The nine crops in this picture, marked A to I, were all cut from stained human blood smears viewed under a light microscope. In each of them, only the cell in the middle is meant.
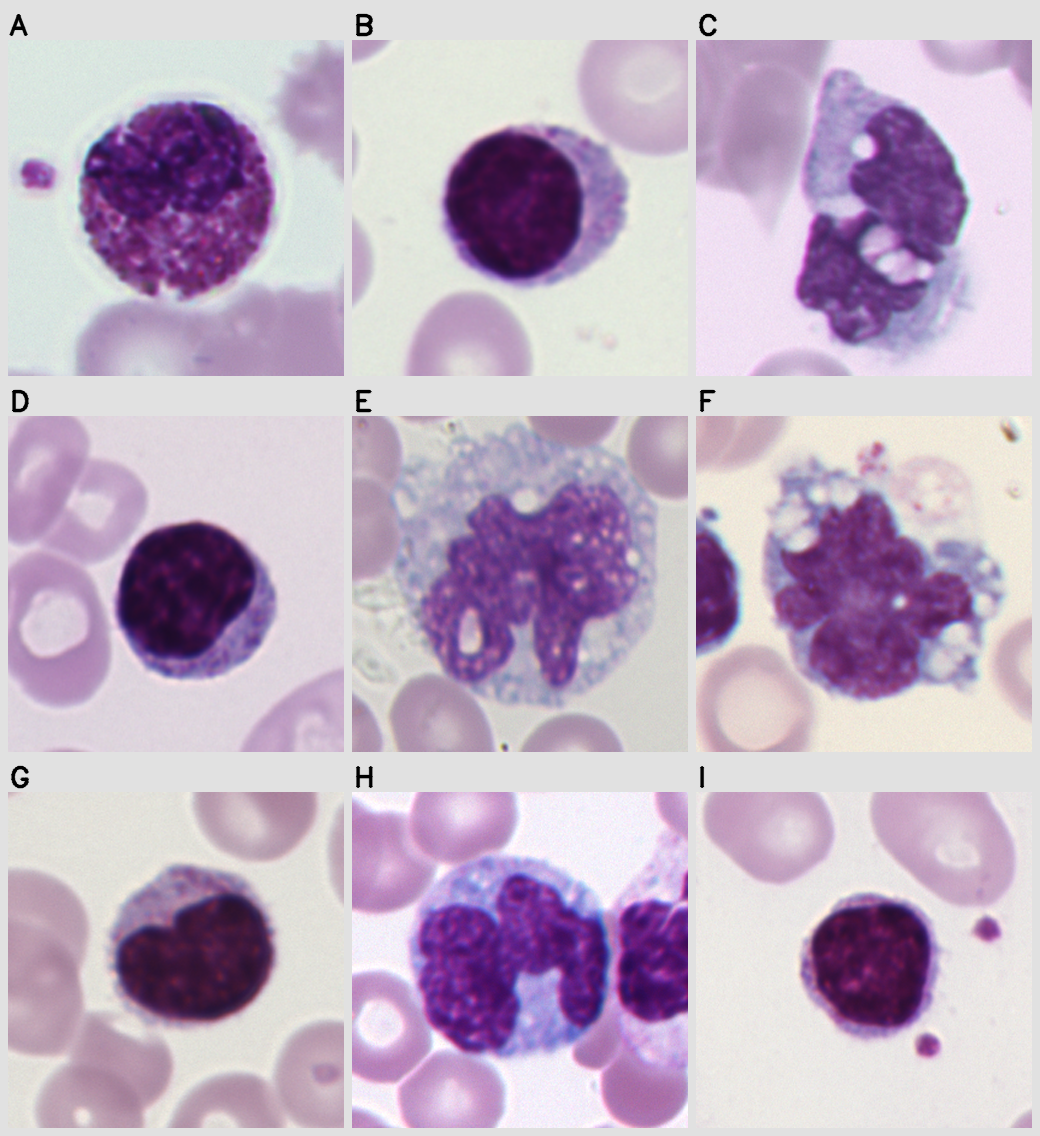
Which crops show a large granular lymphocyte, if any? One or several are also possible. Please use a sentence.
The crops identified as showing large granular lymphocytes are B, D, G and I.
